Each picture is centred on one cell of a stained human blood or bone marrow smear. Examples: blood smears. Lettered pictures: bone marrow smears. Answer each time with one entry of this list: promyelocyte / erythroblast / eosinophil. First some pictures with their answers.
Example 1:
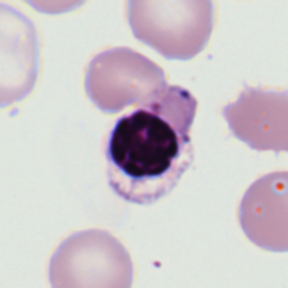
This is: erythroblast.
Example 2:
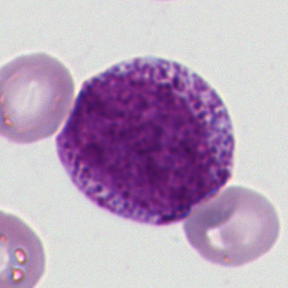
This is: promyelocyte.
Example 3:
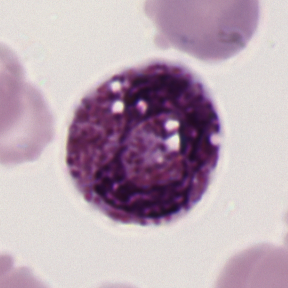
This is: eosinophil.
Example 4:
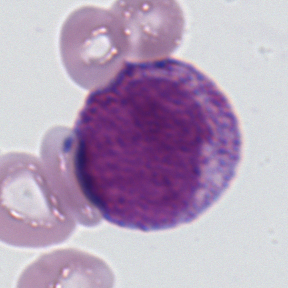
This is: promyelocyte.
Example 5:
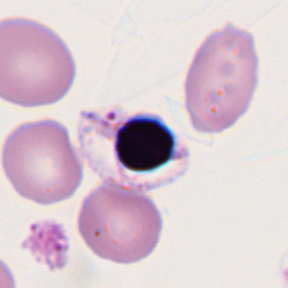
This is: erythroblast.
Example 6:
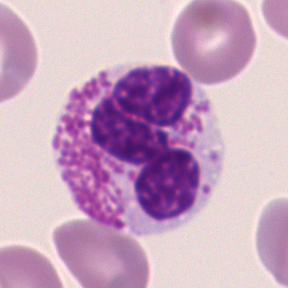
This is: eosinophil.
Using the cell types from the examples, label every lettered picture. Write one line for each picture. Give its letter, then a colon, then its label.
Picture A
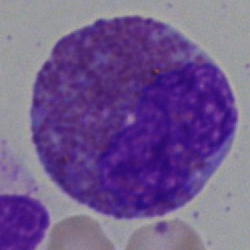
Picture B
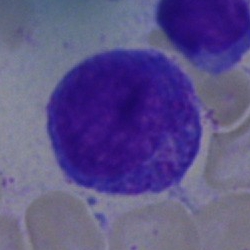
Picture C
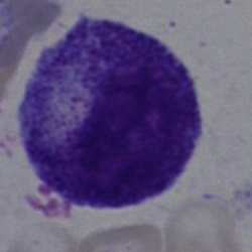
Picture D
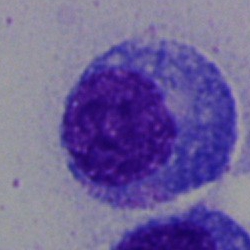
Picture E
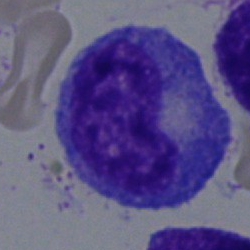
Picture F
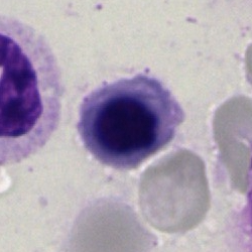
A: eosinophil.
B: promyelocyte.
C: promyelocyte.
D: promyelocyte.
E: promyelocyte.
F: erythroblast.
